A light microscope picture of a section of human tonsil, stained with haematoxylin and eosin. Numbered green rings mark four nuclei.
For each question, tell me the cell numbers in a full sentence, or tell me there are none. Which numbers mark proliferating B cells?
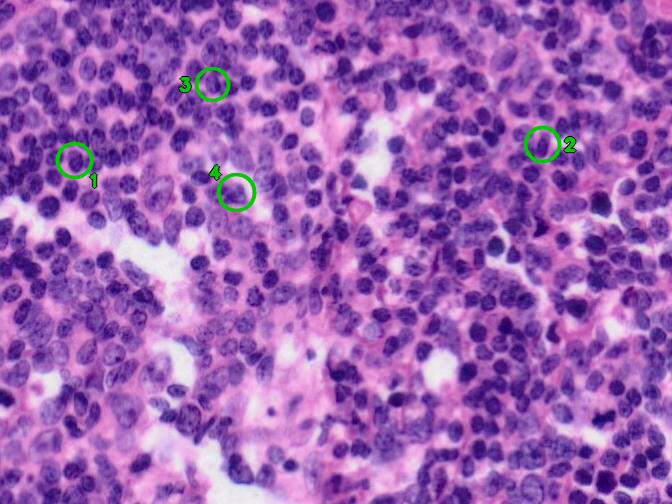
The cell labelled 4 is a proliferating B cell, while the remaining numbered cells are not.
